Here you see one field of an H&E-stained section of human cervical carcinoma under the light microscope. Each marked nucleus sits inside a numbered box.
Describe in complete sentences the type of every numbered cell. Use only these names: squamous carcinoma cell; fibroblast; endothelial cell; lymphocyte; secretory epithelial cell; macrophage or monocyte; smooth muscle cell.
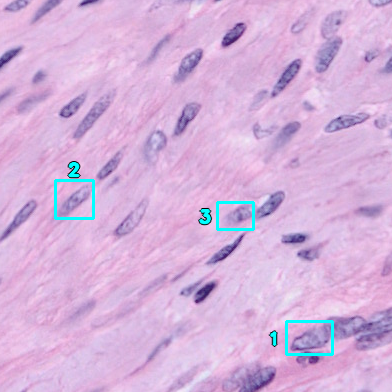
Cell 1 is an endothelial cell. Cells 2 and 3 are smooth muscle cells.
